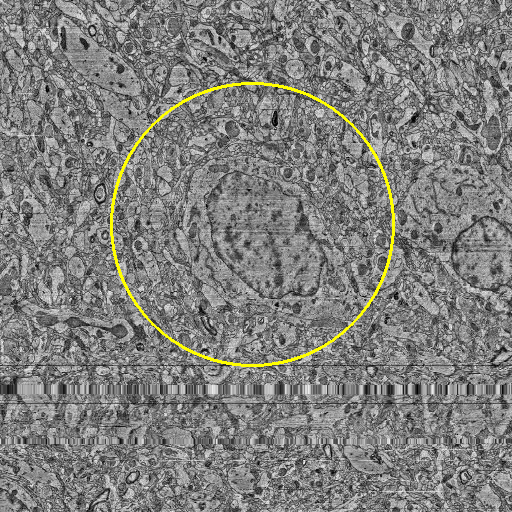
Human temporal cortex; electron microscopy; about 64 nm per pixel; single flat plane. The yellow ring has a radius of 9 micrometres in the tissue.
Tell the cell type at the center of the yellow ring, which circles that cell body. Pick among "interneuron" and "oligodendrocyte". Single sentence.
The ring is centered on the body of an interneuron.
